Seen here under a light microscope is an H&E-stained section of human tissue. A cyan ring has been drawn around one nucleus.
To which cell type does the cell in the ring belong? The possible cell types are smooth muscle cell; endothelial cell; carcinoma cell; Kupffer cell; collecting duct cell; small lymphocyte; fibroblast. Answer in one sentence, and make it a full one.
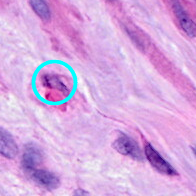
Placed in its cell category, the cell in the ring is an endothelial cell.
